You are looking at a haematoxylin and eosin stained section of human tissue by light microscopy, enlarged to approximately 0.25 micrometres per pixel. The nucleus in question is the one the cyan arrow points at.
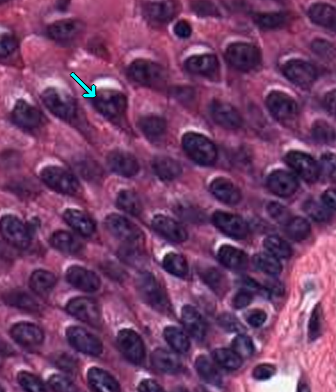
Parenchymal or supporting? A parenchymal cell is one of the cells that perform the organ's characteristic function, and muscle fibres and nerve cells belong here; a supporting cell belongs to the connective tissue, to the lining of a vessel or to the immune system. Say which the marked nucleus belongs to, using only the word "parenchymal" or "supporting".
parenchymal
